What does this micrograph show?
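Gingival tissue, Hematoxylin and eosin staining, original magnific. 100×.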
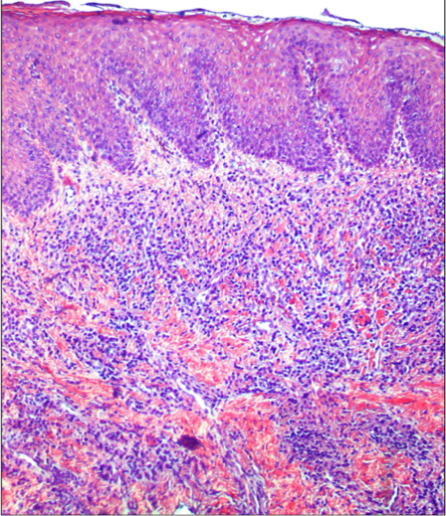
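A section of oral mucosa shows a thickened stratified squamous epithelium at the top, with broad rete ridges reaching down into the connective tissue and a thin pink surface layer. Beneath the epithelium and throughout the deeper connective tissue lie dense collections of small cells with round, dark-purple nuclei, forming an abundant inflammatory infiltrate. Pink bundles of collagen and small vessels with red blood cells run between these cell collections.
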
